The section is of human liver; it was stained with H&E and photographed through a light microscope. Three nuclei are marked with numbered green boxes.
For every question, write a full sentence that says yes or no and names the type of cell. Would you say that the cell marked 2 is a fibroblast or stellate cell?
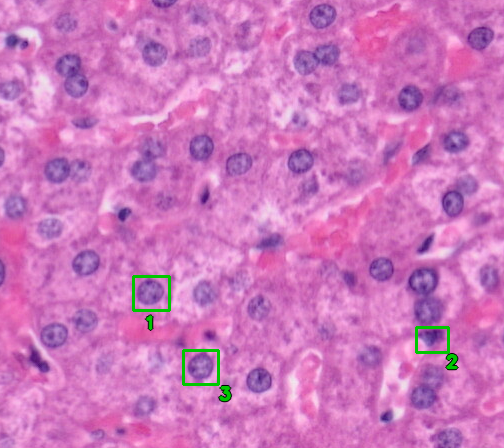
Yes, the cell that is numbered 2 is a fibroblast or stellate cell.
